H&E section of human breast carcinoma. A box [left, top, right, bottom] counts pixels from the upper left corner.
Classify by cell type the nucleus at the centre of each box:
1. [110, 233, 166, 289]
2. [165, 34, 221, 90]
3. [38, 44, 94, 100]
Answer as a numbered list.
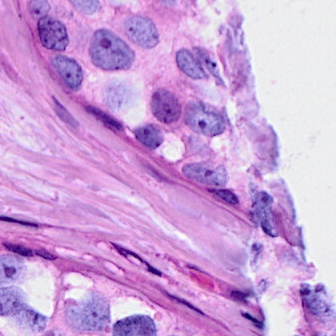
1. fibroblast
2. carcinoma cell
3. carcinoma cell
